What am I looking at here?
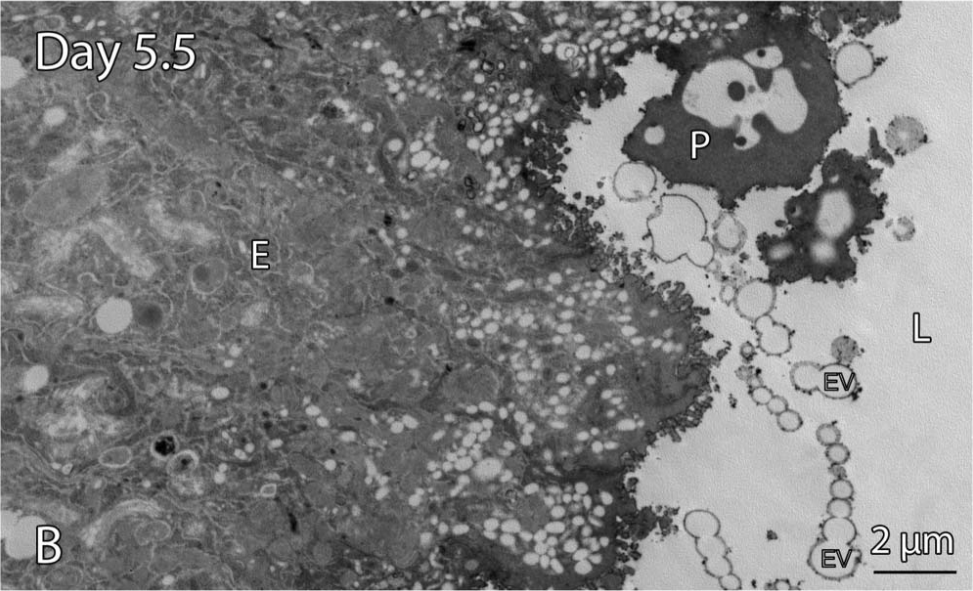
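The left part is filled by epithelial cytoplasm packed with many small pale round vacuoles toward its apical side, edged by a dark fringe of fine projections facing the lumen on the right. Large dark irregular protrusions containing pale inclusions stand out from the surface into the lumen. Beside them, small round membrane-bound vesicles lie in clusters and bead-like chains, as extracellular vesicles aggregating near the pinopods of the luminal epithelium.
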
